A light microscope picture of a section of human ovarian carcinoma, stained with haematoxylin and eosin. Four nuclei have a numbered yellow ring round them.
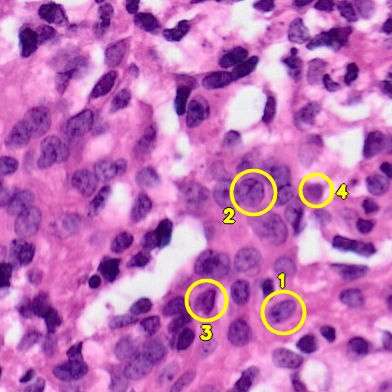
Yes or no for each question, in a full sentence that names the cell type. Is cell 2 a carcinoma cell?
Yes, that is so; number 2 marks a carcinoma cell.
